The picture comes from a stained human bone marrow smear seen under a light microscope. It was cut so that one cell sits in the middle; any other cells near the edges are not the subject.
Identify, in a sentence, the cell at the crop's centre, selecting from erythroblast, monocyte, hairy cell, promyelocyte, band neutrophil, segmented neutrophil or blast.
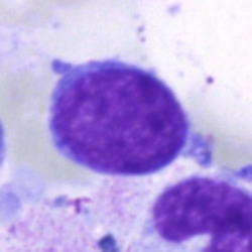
The cell sitting right in the middle is a blast.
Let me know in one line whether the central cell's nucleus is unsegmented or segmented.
Have a look at the nucleus, which is one compact mass, round, oval or kidney-shaped.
